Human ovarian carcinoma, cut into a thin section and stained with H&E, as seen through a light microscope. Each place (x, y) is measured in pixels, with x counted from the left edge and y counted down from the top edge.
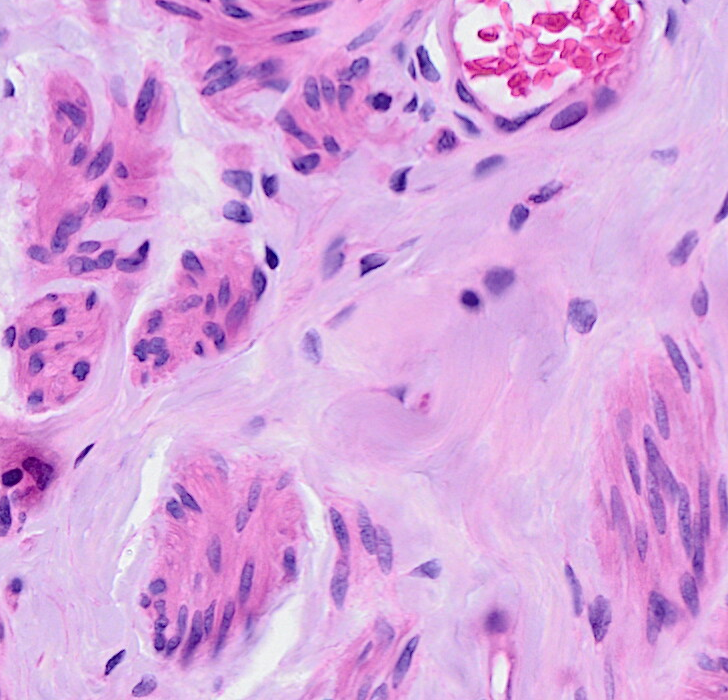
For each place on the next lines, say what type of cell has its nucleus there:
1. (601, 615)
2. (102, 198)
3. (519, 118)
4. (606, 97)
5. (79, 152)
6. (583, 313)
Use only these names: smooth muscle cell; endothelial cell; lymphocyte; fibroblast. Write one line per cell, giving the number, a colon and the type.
1: fibroblast
2: smooth muscle cell
3: endothelial cell
4: endothelial cell
5: smooth muscle cell
6: fibroblast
